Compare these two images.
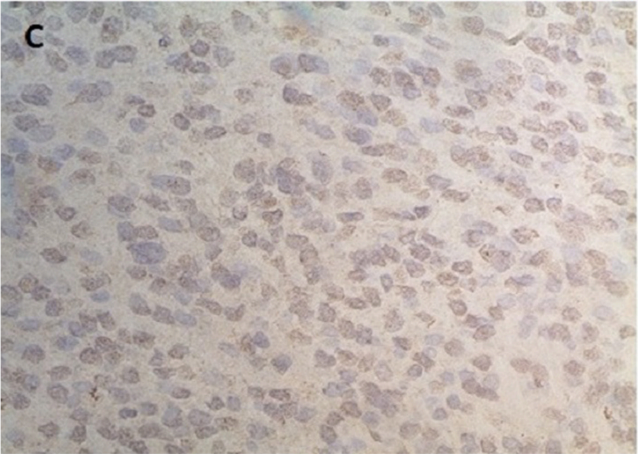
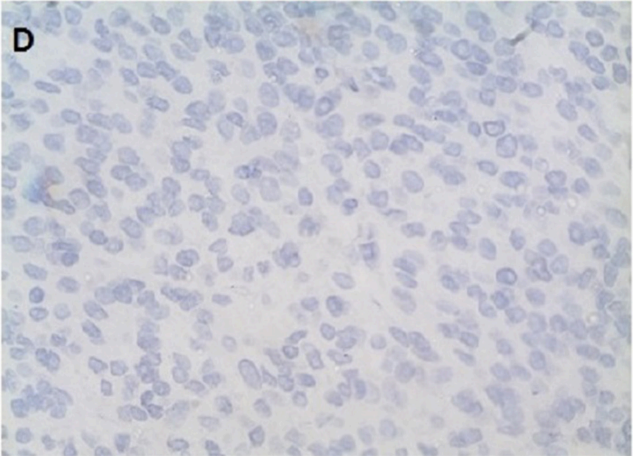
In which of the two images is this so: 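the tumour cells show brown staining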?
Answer: the first image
